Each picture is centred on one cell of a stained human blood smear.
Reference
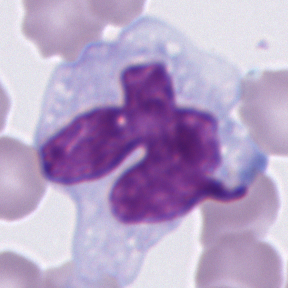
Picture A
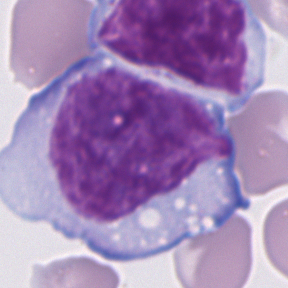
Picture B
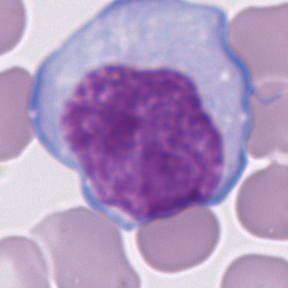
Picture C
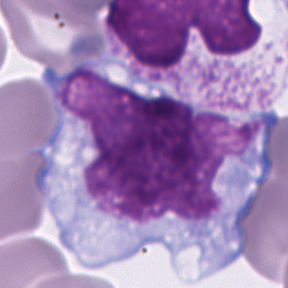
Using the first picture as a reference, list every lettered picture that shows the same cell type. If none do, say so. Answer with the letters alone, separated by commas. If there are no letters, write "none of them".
C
